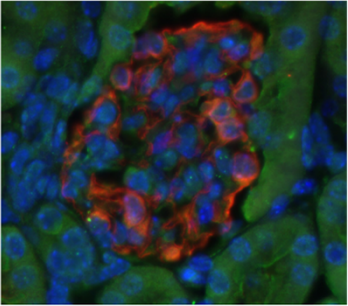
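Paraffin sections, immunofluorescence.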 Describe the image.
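A glomerulus in a kidney section is shown, bordered by tubules with round blue nuclei. Red signal outlines the capillary loops of the glomerular tuft, with many blue nuclei packed among them. Where green and red coincide along the loops the colour appears orange-yellow.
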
